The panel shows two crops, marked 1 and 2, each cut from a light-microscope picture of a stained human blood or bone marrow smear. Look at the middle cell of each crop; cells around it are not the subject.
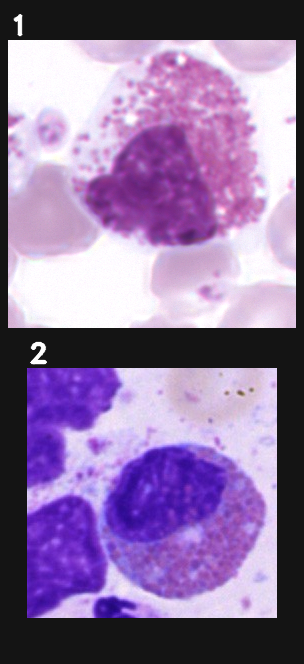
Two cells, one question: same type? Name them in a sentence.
Yes, eosinophils are seen in both crops.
